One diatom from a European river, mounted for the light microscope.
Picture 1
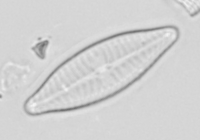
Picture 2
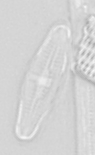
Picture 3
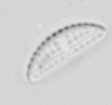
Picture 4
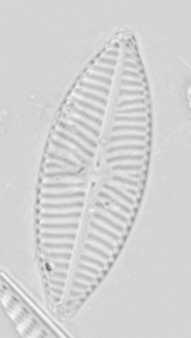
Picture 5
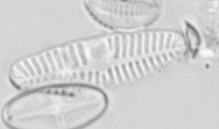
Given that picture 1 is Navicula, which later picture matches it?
4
